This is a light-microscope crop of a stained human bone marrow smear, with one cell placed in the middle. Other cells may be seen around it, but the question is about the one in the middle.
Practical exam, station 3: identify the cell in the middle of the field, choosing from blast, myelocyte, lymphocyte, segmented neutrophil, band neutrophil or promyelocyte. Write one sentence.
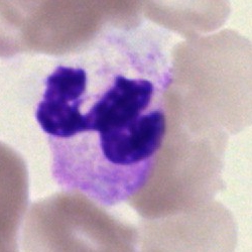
The cell occupying the middle of the crop is a segmented neutrophil.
